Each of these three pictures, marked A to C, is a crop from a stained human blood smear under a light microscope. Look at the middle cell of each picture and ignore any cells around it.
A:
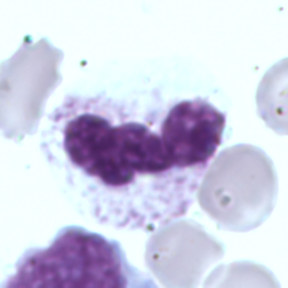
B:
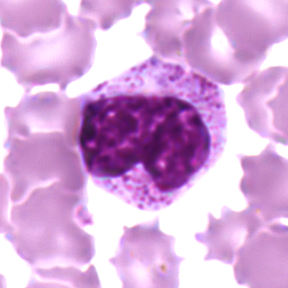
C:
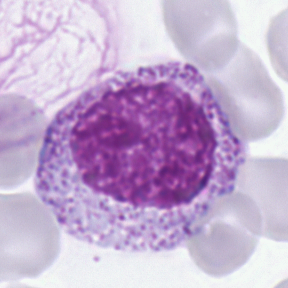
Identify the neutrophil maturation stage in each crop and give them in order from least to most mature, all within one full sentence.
Listed from least to most mature, the crops read crop C (a myelocyte), crop B (a metamyelocyte) and crop A (a segmented neutrophil).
